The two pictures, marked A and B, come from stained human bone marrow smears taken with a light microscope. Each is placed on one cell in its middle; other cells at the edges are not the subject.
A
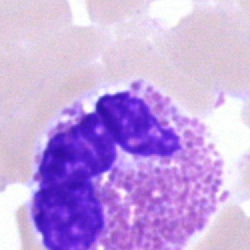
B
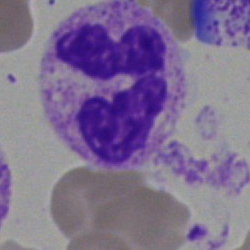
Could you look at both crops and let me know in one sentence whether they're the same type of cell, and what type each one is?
No, crop B centres on a segmented neutrophil, and crop A centres on an eosinophil.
